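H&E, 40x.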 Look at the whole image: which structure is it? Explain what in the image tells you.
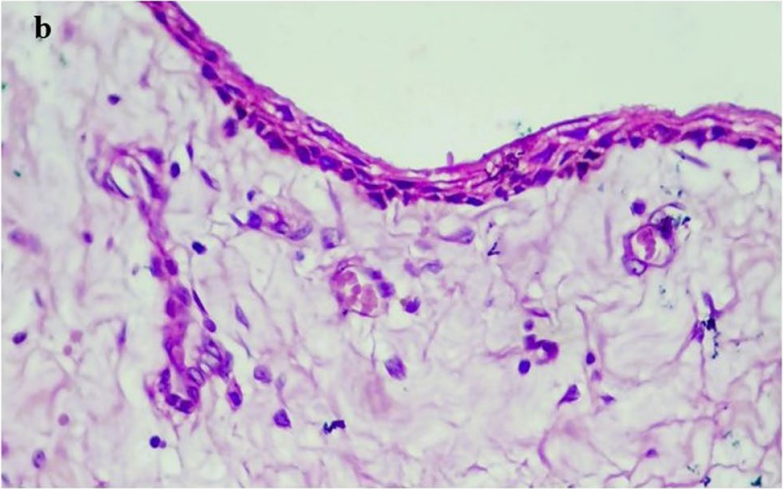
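A surface layer only a few cells thick with dark purple nuclei. The layer lies flat on loose pale pink connective tissue without downgrowths. The cells are flattened to cuboidal.
Thin epithelial lining of 2–4 cell layers.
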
